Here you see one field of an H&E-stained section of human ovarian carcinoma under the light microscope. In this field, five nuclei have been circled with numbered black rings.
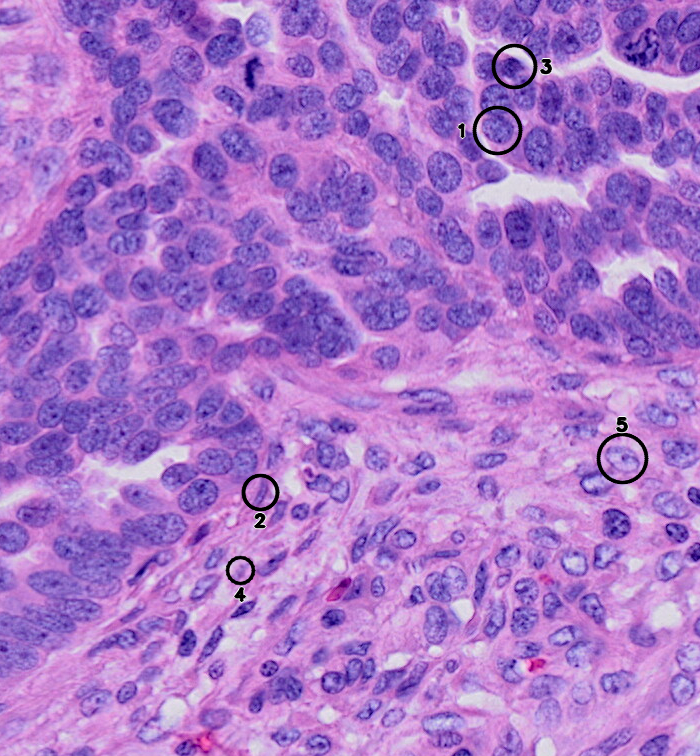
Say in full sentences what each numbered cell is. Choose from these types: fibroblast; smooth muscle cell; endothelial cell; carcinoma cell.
Cells 1 and 3 are carcinoma cells. Cells 2, 4 and 5 are fibroblasts.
